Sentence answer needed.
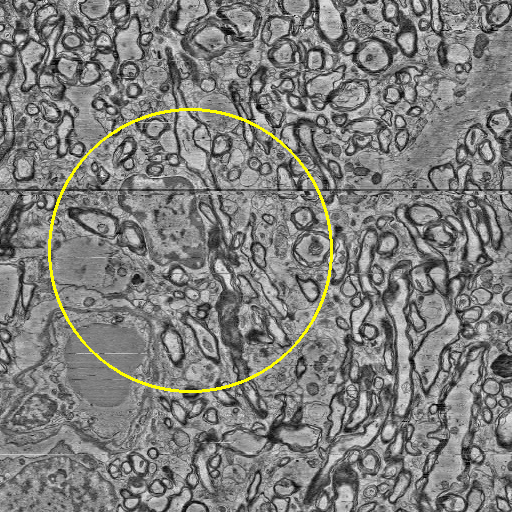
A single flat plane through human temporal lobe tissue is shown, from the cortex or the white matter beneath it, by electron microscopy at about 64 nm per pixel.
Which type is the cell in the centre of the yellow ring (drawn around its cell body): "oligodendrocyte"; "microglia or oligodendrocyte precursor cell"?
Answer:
In the centre of the yellow ring is a microglial cell or oligodendrocyte precursor cell.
